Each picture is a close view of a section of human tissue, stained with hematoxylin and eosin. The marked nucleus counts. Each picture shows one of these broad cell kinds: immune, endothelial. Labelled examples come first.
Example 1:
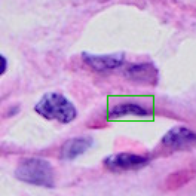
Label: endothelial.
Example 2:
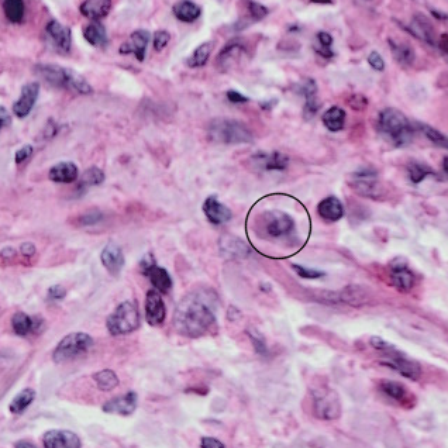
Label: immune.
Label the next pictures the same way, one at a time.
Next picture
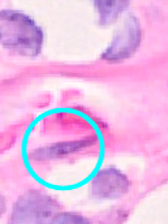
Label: endothelial.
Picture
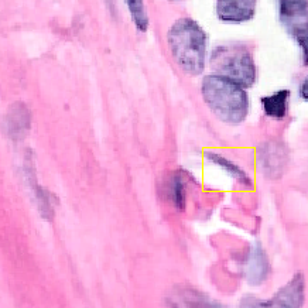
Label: endothelial.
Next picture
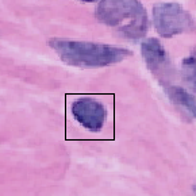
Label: immune.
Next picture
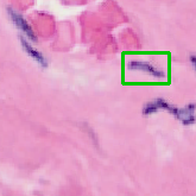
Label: endothelial.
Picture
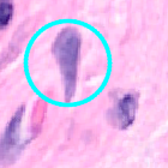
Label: endothelial.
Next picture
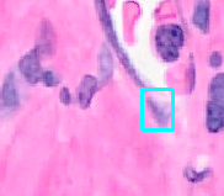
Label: endothelial.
